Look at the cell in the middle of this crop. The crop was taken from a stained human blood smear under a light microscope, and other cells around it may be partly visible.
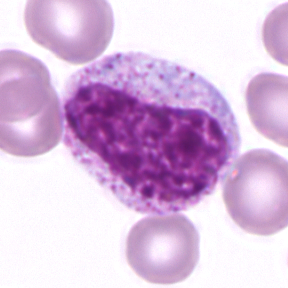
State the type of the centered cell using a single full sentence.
Within this crop, a metamyelocyte occupies the central position.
